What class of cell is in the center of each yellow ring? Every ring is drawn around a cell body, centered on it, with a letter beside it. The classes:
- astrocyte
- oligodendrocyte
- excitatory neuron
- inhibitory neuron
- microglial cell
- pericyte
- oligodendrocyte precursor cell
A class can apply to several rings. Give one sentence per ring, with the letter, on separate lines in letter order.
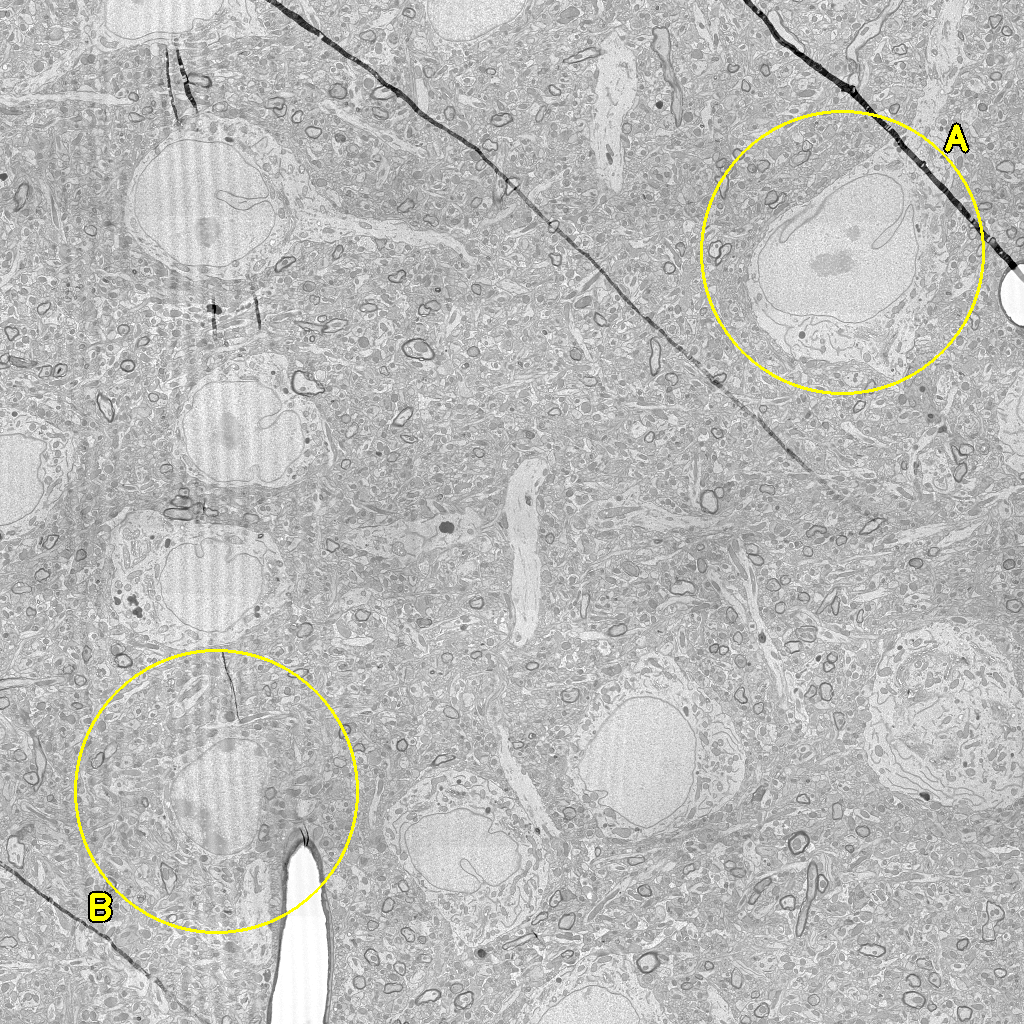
Ring A holds an excitatory neuron at its center.
Ring B holds an astrocyte at its center.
